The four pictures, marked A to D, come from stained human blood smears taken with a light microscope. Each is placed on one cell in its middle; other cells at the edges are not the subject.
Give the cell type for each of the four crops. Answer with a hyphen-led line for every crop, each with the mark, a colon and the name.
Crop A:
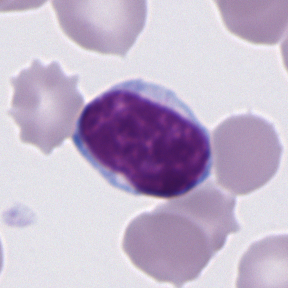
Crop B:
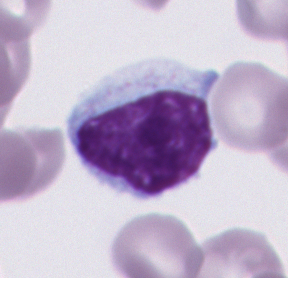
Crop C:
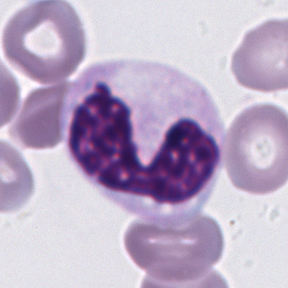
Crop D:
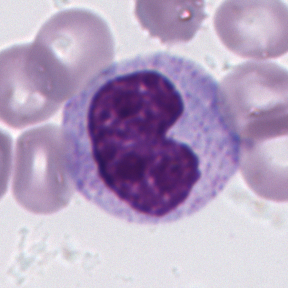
- A: lymphocyte
- B: lymphocyte
- C: band neutrophil
- D: metamyelocyte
